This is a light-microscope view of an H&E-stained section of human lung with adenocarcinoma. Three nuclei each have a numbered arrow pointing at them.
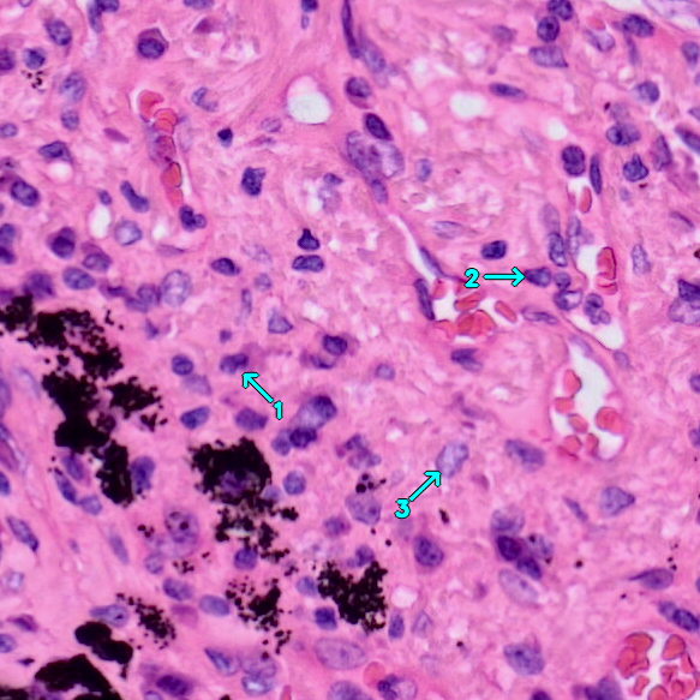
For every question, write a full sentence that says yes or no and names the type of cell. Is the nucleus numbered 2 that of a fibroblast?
No, the cell indicated by 2 is a mast cell instead of a fibroblast.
